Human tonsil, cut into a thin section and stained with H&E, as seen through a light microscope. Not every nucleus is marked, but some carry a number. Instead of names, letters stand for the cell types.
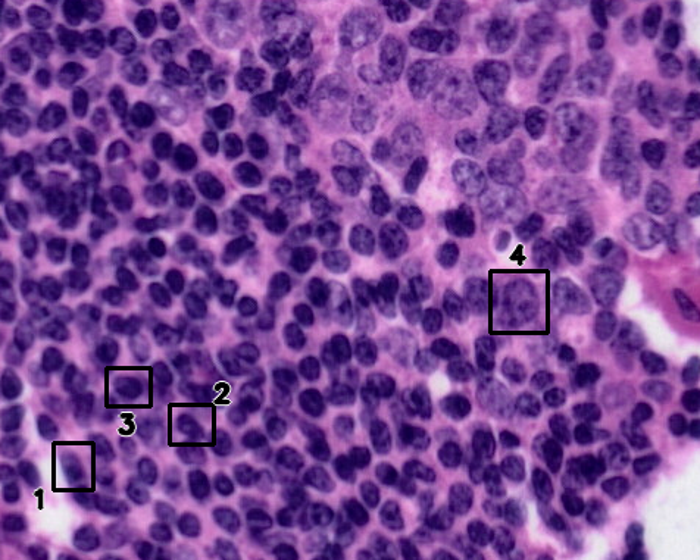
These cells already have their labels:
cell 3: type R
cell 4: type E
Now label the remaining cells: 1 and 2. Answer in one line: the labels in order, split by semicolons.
type R; type R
